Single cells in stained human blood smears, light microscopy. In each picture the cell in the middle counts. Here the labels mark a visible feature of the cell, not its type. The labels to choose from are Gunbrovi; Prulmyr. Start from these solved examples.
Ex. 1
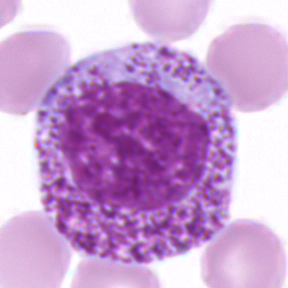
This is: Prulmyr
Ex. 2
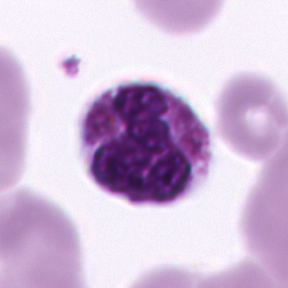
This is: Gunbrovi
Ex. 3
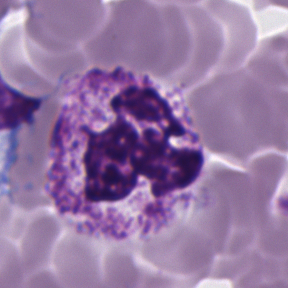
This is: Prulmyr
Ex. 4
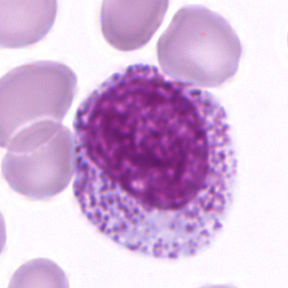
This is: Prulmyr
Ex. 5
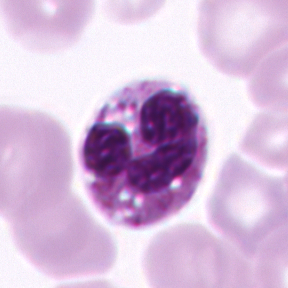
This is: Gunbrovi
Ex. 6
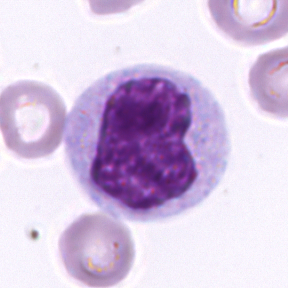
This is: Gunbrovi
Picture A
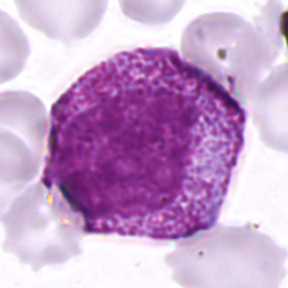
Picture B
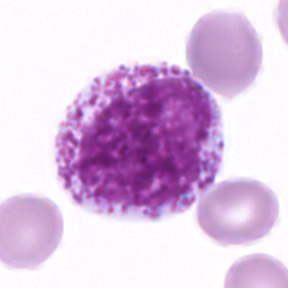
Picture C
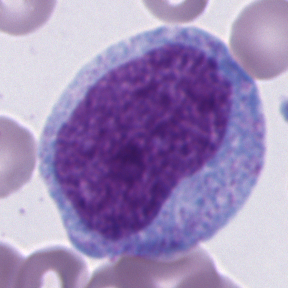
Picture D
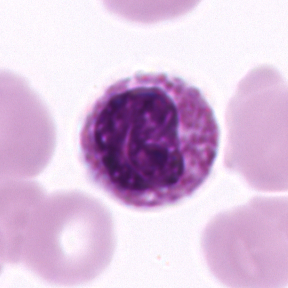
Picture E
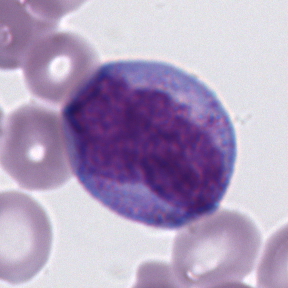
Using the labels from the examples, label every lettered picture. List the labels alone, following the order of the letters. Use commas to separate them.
Gunbrovi, Prulmyr, Gunbrovi, Gunbrovi, Gunbrovi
